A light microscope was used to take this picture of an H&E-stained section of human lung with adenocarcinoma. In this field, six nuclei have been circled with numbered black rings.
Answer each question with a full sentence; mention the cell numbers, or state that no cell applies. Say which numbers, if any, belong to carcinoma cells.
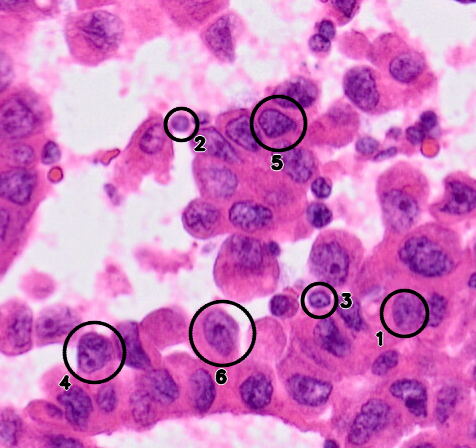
The cells assigned the numbers 1, 4, 5 and 6 are carcinoma cells.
